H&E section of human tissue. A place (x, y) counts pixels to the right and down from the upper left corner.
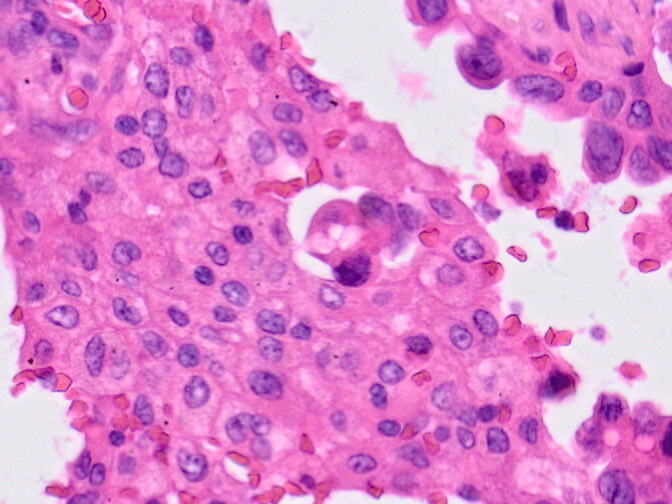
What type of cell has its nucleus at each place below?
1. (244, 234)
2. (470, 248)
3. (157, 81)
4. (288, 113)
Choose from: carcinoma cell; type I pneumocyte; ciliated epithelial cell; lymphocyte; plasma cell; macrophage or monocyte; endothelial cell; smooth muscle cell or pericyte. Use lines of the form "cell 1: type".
cell 1: lymphocyte
cell 2: macrophage or monocyte
cell 3: macrophage or monocyte
cell 4: macrophage or monocyte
